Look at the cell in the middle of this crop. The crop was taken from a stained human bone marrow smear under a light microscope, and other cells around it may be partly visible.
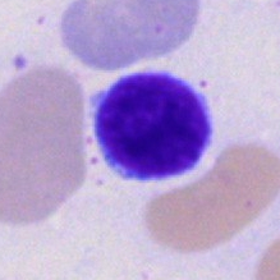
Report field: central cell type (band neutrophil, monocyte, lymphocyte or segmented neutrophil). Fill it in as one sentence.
The cell at the middle of the frame should be recorded as a lymphocyte.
